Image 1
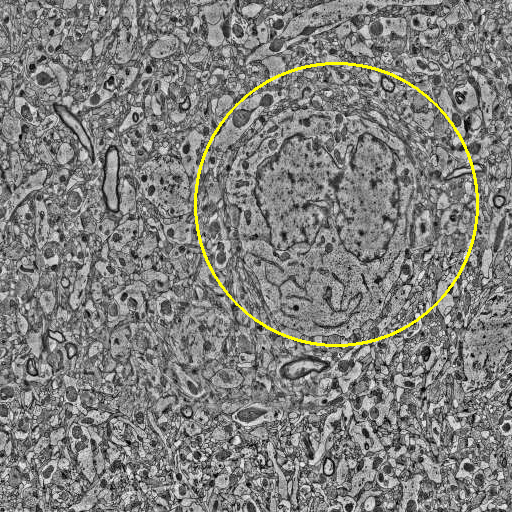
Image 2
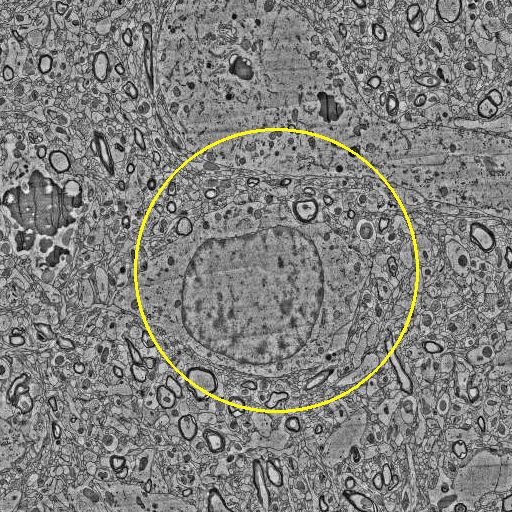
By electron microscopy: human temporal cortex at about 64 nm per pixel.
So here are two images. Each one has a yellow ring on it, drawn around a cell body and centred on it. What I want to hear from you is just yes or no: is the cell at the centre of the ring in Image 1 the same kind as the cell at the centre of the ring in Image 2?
yes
